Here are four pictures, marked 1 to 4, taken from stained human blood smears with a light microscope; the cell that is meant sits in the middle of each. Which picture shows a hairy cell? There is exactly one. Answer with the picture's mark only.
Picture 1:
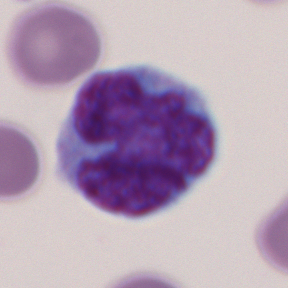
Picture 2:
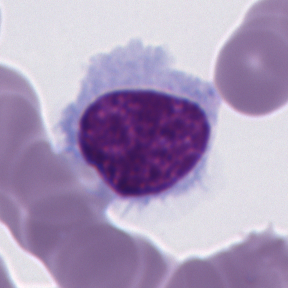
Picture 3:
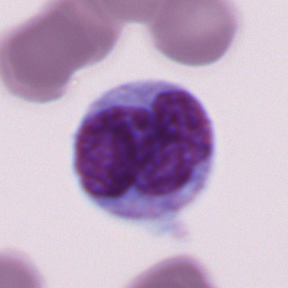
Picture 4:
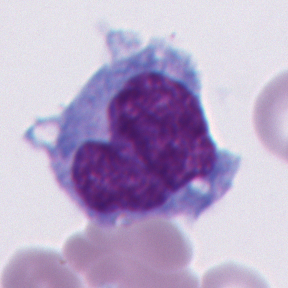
2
